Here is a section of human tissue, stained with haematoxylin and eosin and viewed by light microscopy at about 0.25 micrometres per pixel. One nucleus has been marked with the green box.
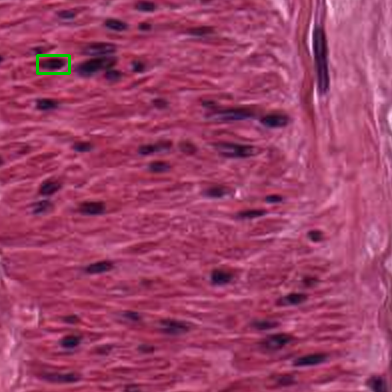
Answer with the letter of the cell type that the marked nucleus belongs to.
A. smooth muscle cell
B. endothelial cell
A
